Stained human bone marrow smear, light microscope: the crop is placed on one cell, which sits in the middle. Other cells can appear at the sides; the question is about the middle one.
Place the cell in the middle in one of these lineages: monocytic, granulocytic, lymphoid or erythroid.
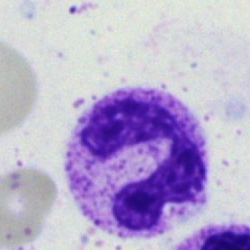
granulocytic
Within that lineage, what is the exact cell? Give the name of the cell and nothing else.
segmented neutrophil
